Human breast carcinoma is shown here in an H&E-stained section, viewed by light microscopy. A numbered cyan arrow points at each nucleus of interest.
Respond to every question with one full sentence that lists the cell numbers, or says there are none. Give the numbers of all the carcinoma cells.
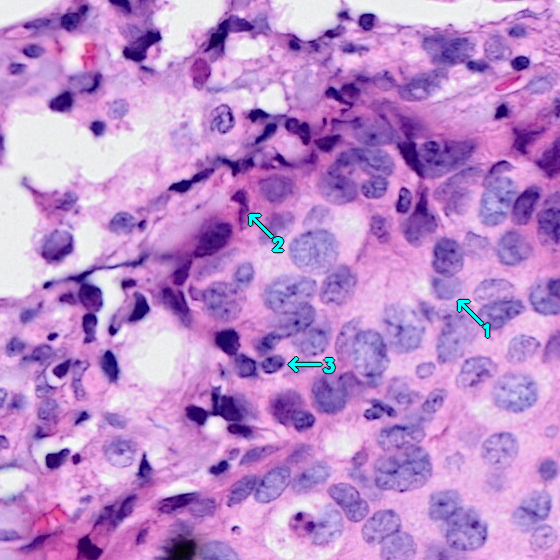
The cells which carry the numbers 1 and 2 are carcinoma cells.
